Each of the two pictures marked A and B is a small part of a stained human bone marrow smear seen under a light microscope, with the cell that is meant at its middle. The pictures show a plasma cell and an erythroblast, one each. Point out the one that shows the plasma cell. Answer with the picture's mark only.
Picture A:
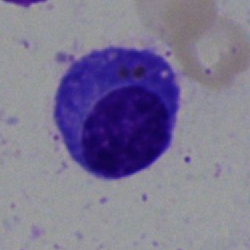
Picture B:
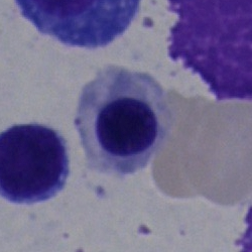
A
